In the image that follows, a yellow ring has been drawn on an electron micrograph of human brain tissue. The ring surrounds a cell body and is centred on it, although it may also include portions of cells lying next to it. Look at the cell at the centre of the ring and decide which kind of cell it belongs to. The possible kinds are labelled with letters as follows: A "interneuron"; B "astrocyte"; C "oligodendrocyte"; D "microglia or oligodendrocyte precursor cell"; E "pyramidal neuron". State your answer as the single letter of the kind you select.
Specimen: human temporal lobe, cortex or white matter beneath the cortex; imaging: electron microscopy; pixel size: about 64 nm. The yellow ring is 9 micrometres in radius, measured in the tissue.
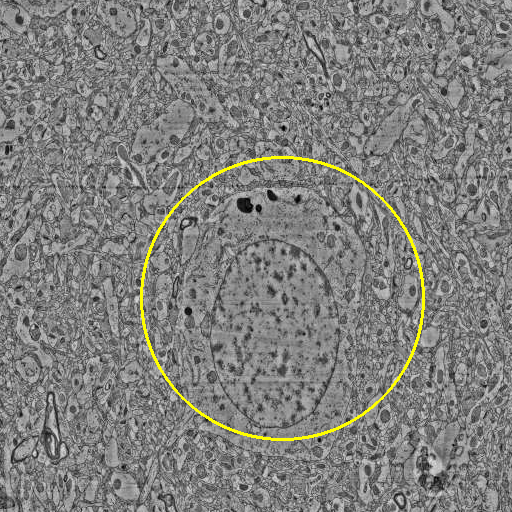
E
